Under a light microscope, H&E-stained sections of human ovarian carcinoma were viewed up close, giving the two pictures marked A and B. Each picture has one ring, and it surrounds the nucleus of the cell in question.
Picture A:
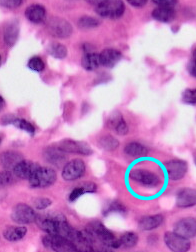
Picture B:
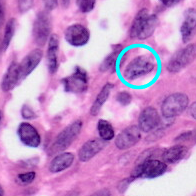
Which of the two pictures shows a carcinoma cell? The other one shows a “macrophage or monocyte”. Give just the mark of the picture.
A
